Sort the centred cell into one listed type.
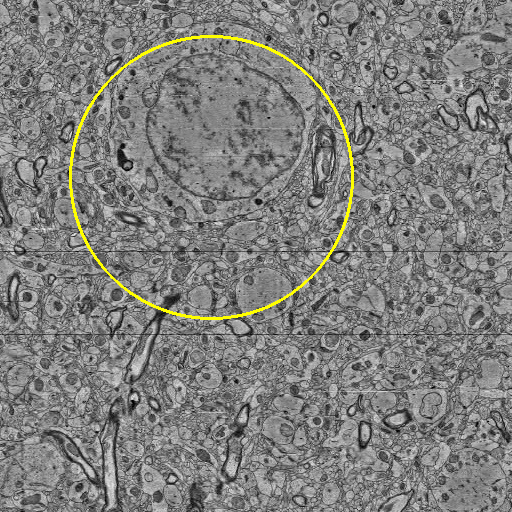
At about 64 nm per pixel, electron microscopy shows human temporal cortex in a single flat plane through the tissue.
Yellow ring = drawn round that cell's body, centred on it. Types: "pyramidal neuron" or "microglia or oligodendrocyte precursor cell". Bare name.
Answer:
pyramidal neuron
